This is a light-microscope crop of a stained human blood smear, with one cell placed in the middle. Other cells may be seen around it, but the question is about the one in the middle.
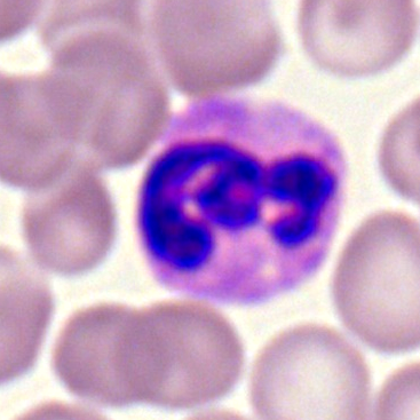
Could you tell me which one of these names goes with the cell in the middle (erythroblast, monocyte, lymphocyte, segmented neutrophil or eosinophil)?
segmented neutrophil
